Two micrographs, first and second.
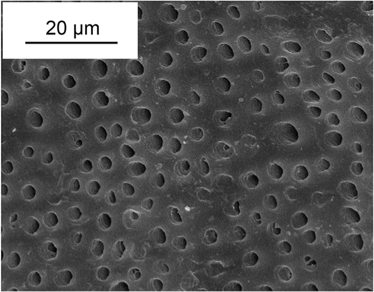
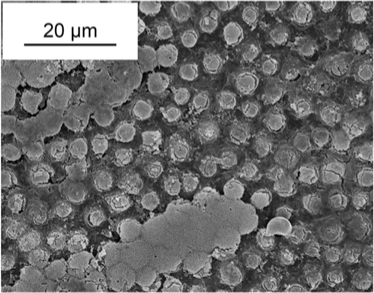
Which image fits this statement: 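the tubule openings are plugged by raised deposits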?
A: The second image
